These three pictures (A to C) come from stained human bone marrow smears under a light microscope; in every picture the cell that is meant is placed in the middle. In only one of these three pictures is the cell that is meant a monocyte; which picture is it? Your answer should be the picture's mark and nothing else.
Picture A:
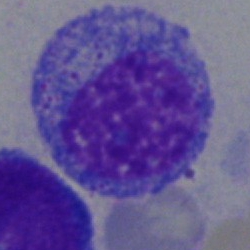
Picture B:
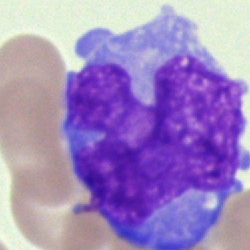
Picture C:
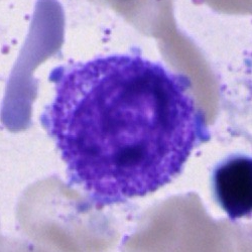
B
